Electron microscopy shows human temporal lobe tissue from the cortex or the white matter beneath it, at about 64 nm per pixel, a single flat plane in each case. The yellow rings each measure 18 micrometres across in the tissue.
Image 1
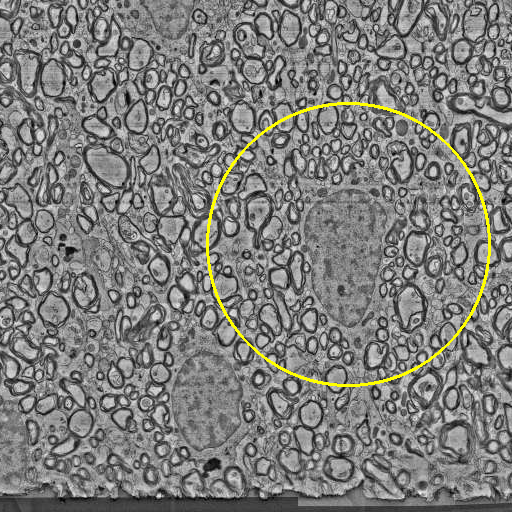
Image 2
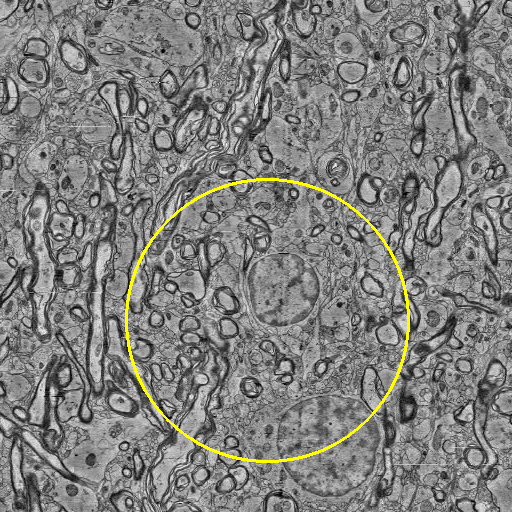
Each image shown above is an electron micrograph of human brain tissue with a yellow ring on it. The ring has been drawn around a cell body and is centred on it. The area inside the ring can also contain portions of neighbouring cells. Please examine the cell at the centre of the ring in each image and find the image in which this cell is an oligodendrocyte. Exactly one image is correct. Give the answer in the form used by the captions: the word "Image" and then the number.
Image 1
